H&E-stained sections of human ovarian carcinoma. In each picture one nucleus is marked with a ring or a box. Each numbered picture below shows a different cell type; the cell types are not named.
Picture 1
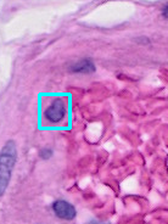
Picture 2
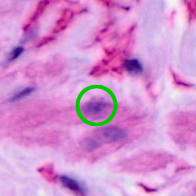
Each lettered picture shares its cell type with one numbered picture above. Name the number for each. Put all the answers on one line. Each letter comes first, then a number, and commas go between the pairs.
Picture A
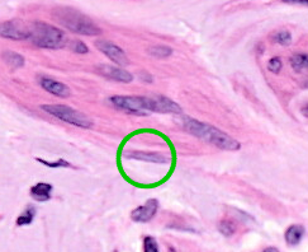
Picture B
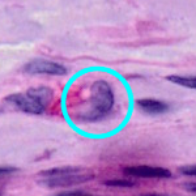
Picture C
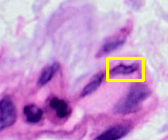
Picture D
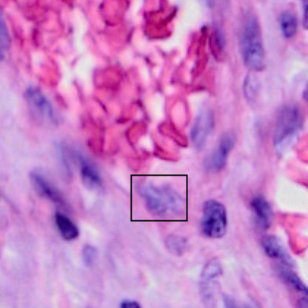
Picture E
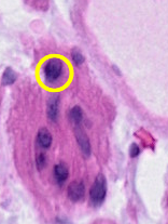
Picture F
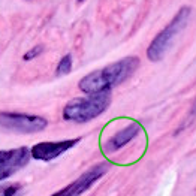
A 2, B 1, C 1, D 1, E 2, F 2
